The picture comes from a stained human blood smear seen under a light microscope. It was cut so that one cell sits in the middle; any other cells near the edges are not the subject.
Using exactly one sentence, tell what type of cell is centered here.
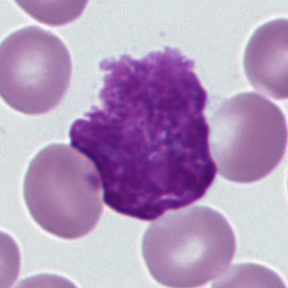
The cell centred in this crop is categorized as a smudge cell.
